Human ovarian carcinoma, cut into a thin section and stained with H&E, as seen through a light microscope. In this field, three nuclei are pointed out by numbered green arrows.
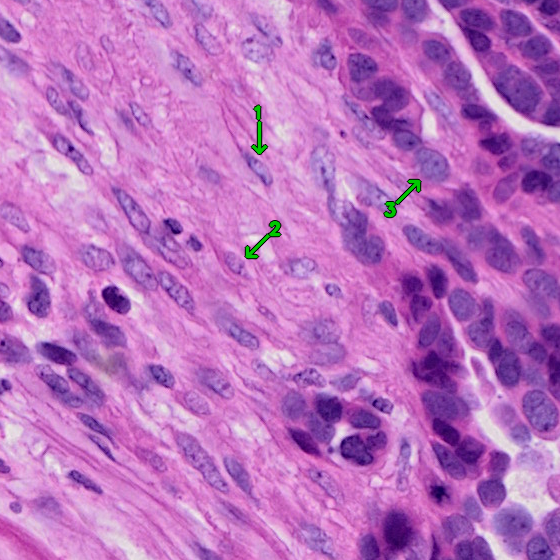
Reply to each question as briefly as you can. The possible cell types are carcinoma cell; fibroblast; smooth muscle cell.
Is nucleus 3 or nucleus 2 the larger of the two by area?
3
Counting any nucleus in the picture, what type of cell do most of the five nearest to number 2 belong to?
fibroblast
